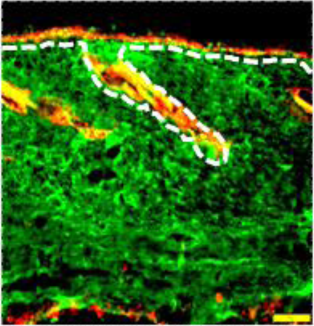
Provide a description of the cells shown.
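This is a section of skin with a thin red-stained epidermis across the top and a green-stained dermis beneath it, separated by a white dashed line. The dashed line dips down to outline an oblique red and yellow structure running into the dermis. Further red-stained structures appear along the lower edge of the section.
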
